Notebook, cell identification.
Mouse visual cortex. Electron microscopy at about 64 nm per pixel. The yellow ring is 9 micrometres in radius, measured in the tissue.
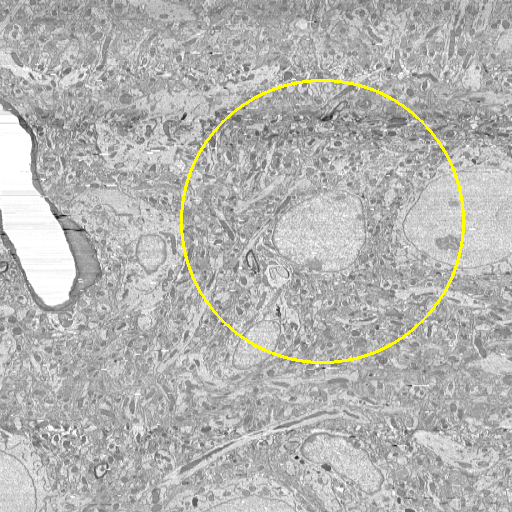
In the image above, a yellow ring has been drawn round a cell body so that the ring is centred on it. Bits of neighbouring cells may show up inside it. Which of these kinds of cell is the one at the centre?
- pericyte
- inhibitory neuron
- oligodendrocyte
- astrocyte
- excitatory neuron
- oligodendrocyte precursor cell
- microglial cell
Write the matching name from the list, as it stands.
astrocyte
